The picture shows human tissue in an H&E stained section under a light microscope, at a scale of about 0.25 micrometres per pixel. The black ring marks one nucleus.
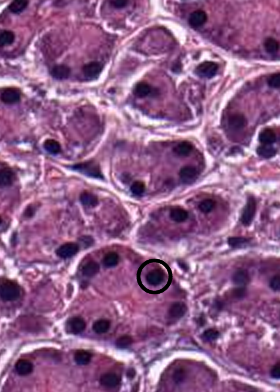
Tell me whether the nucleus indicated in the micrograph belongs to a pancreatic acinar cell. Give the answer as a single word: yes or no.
yes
